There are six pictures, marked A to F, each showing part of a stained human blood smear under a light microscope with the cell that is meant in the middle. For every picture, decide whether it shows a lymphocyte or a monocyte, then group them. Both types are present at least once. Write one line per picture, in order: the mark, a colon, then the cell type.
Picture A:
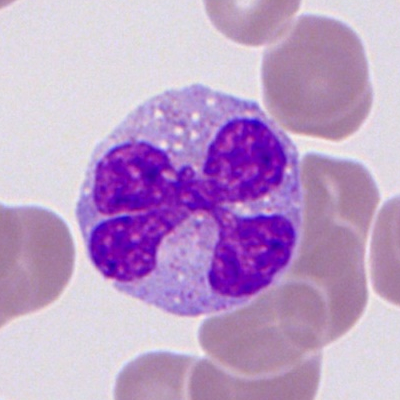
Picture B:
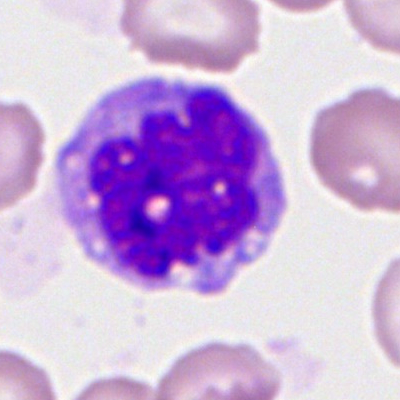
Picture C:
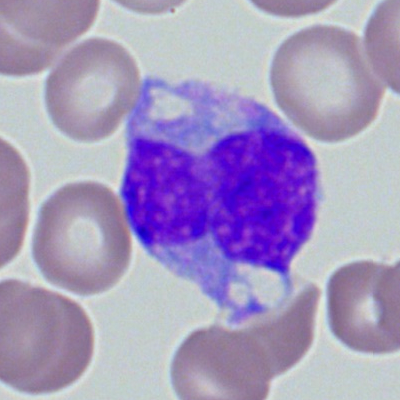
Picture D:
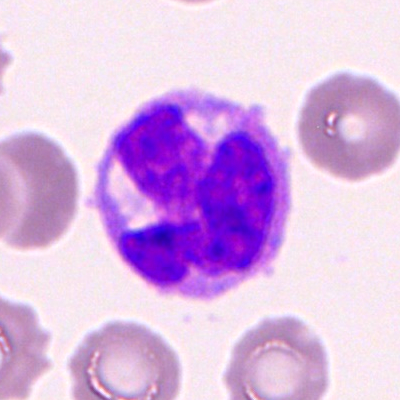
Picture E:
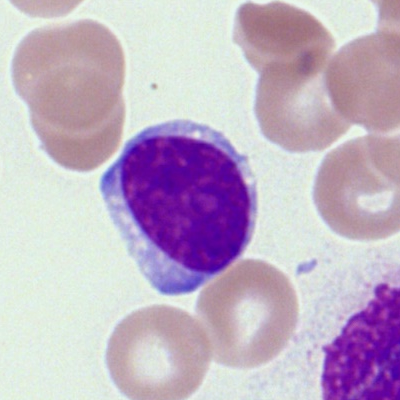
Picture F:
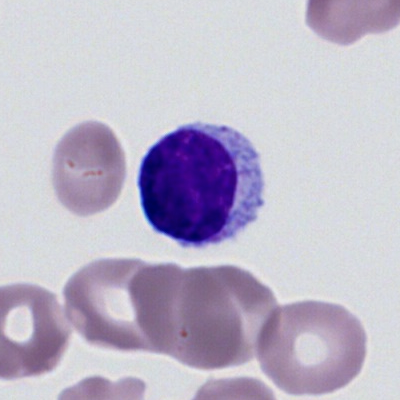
A: monocyte
B: monocyte
C: monocyte
D: monocyte
E: lymphocyte
F: lymphocyte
